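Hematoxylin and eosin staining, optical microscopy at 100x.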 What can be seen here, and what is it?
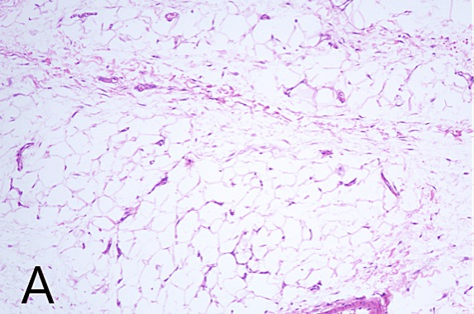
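At low power this is a mass of mature adipose cells, which appear as many pale, empty polygonal spaces with thin pink walls. Thin strands of pink fibrous tissue cross the field and divide the fat into lobules. Small blood vessels with purple walls are scattered between the cells and along the strands. Nuclei are few and small.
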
